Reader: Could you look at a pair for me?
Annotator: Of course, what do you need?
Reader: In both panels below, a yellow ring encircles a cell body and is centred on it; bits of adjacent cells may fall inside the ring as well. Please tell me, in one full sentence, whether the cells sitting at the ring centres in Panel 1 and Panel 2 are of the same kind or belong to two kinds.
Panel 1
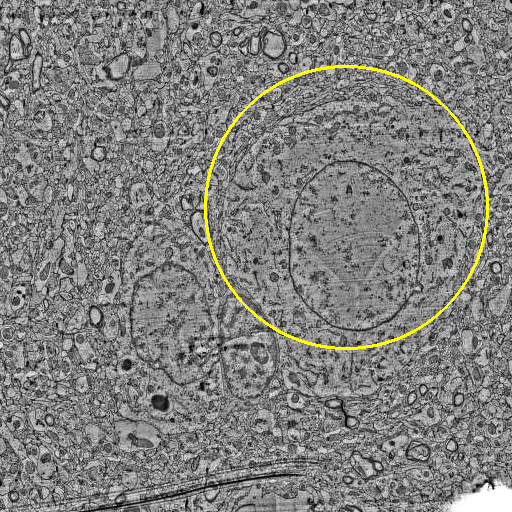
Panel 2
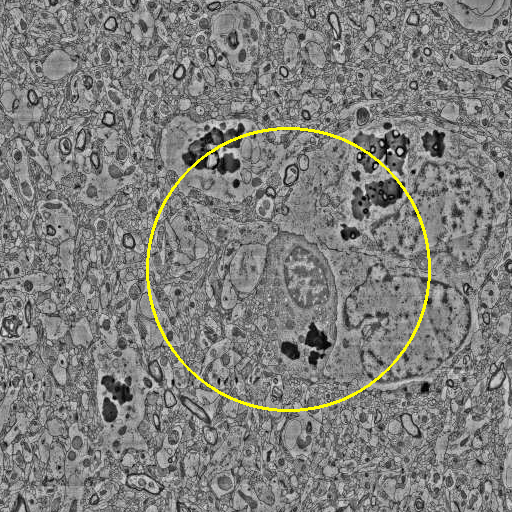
The cell at the ring's centre in Panel 1 and the one in Panel 2 belong to two kinds.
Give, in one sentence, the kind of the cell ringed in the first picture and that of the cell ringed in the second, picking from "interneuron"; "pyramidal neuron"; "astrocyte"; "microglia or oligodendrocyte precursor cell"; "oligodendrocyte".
For the first picture it is a pyramidal neuron; for the second, an oligodendrocyte.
